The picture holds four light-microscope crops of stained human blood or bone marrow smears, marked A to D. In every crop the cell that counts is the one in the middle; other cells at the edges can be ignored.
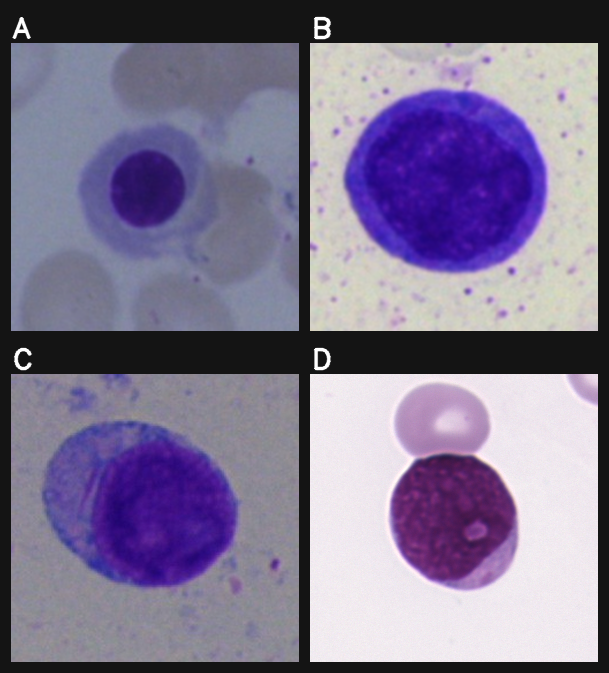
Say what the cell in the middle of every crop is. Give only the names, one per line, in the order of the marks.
erythroblast
blast
blast
blast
